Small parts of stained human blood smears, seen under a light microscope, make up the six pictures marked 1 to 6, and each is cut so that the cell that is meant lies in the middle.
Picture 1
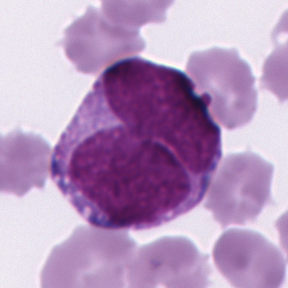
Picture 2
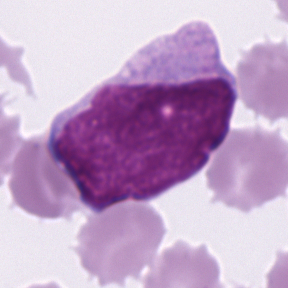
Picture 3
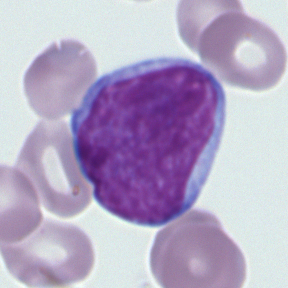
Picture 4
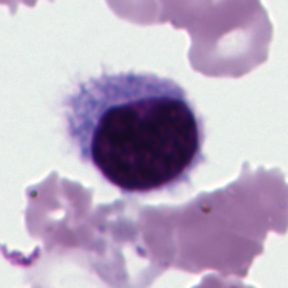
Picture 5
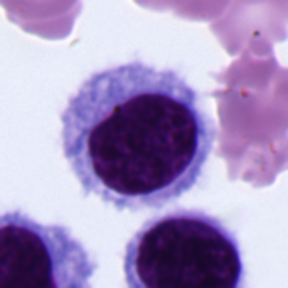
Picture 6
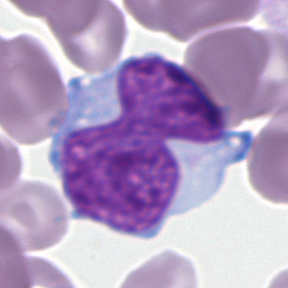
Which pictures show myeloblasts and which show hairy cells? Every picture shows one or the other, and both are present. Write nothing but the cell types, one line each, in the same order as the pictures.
myeloblast
myeloblast
myeloblast
hairy cell
hairy cell
myeloblast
